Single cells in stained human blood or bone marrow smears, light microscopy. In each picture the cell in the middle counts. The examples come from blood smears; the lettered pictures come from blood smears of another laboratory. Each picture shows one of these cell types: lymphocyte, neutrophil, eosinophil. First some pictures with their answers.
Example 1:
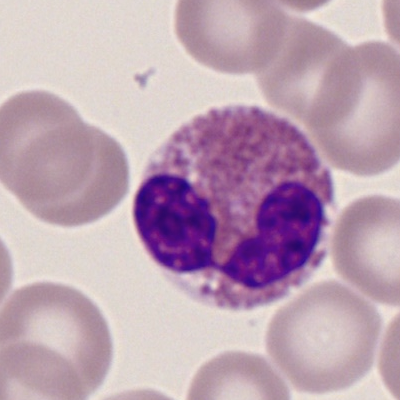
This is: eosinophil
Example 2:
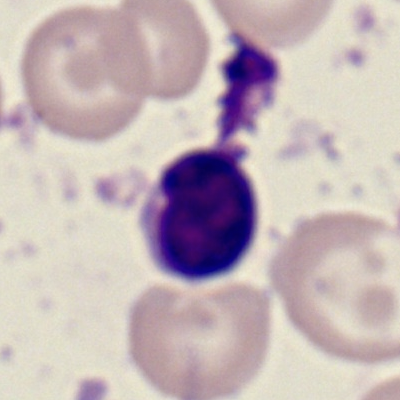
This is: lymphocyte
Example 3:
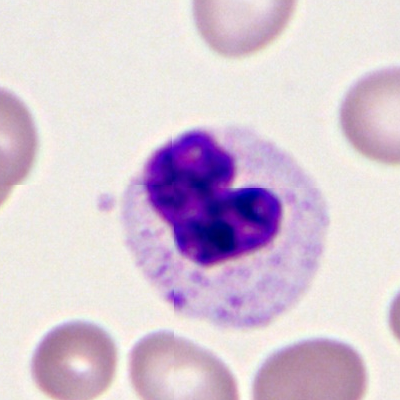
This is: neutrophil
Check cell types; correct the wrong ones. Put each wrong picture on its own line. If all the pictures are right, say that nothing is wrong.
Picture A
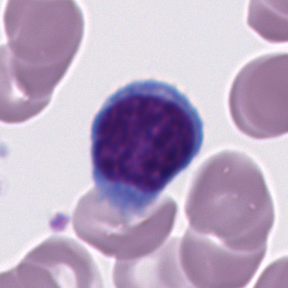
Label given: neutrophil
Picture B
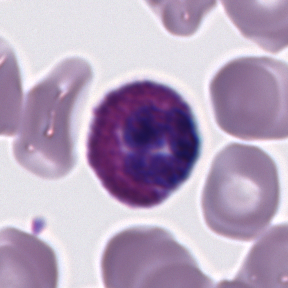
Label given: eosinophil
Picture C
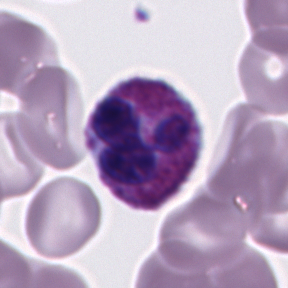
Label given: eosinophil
A: not neutrophil but lymphocyte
